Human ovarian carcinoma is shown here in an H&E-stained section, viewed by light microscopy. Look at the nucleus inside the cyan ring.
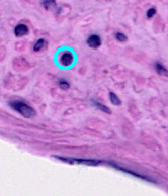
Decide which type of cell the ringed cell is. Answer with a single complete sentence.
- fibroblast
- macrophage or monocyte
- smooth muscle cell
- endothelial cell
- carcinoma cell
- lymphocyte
It is as a smooth muscle cell that the ringed cell is recorded.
